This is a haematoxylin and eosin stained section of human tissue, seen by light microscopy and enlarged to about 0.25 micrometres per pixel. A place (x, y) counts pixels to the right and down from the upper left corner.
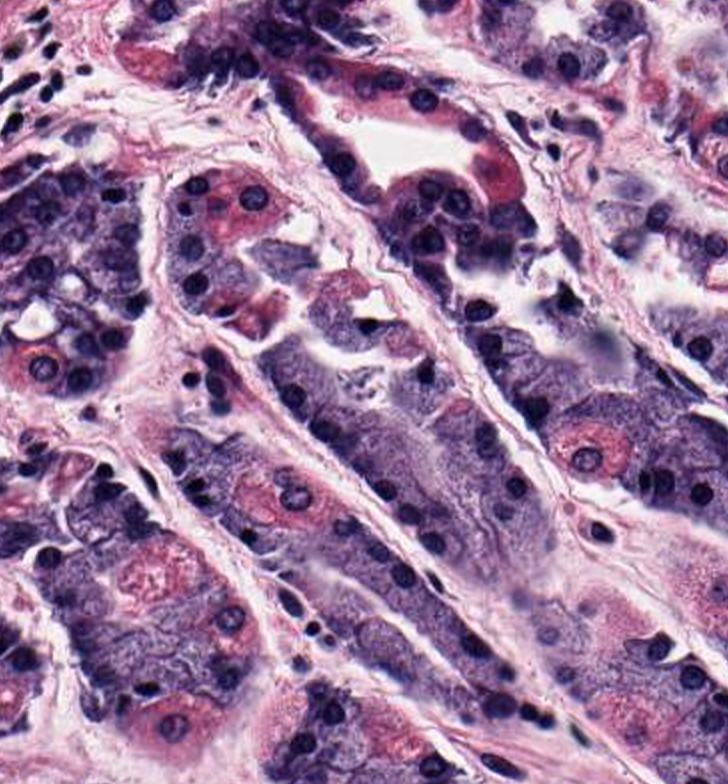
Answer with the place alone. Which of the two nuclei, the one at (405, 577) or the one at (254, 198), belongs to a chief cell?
(405, 577)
